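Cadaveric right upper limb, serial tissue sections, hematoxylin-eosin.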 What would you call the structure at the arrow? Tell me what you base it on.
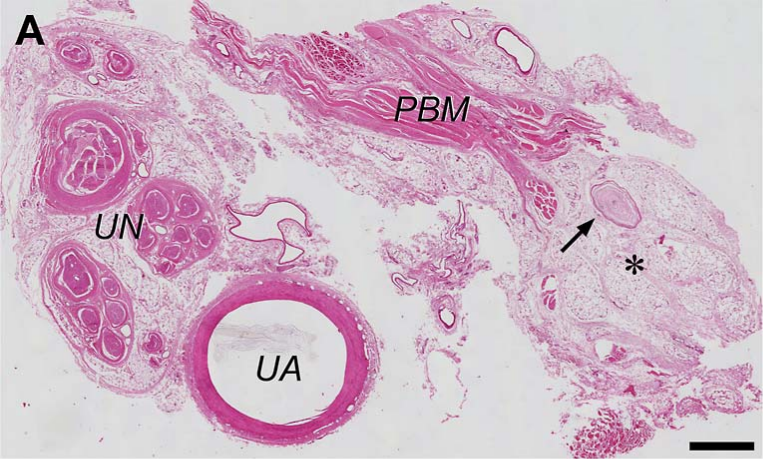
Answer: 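The arrow points to a small oval body with concentric layers. It lies within pale, loose fatty tissue.
Hence: a Pacinian corpuscle.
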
